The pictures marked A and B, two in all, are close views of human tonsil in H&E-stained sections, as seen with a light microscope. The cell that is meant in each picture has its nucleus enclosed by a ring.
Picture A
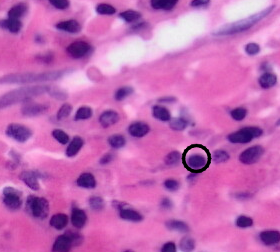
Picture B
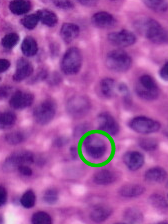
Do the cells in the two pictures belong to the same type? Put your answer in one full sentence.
No; the cell in picture A is a mast cell, while the one in picture B is a squamous epithelial cell.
